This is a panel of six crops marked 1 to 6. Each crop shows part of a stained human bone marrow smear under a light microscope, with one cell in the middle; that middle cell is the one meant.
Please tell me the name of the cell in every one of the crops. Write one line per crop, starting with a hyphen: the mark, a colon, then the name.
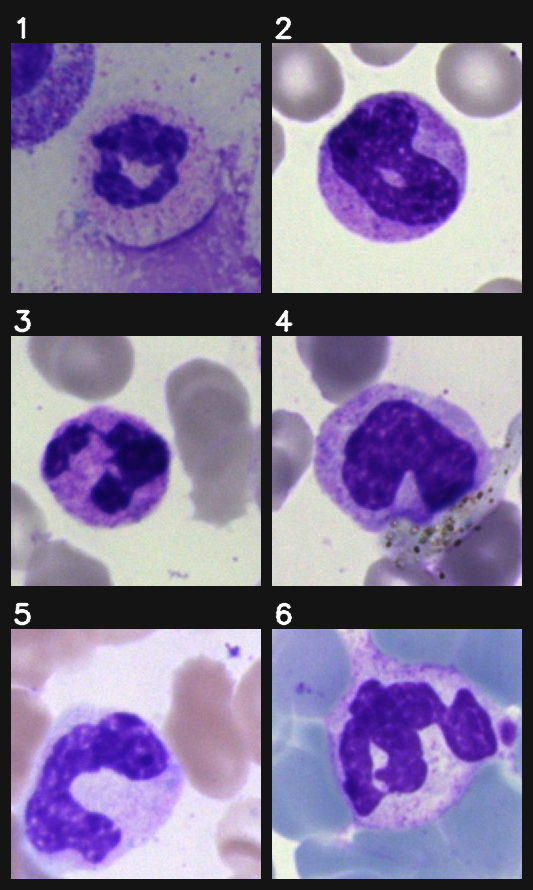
- 1: segmented neutrophil
- 2: segmented neutrophil
- 3: segmented neutrophil
- 4: band neutrophil
- 5: band neutrophil
- 6: segmented neutrophil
